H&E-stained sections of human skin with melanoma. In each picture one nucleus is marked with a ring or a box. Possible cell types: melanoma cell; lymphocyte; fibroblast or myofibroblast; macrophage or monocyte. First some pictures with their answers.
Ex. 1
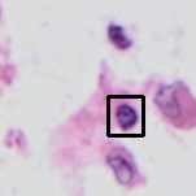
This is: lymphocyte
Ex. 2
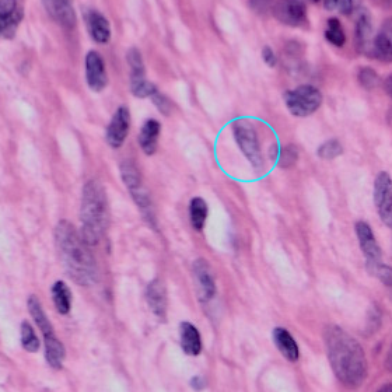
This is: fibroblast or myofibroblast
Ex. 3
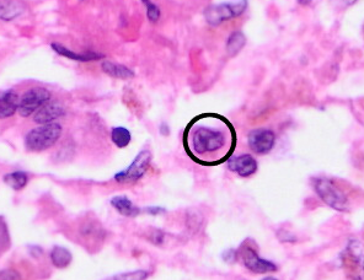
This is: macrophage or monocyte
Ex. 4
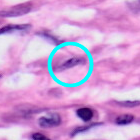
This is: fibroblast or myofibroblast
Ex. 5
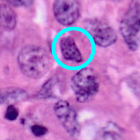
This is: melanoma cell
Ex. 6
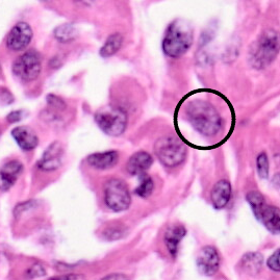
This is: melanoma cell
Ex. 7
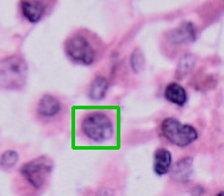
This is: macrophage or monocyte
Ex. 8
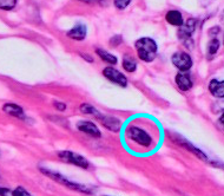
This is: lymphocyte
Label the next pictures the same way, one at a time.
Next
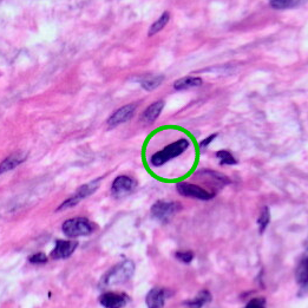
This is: lymphocyte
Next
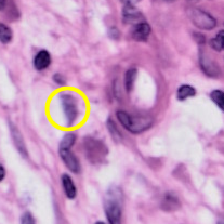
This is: fibroblast or myofibroblast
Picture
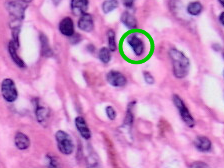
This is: lymphocyte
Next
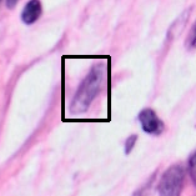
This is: fibroblast or myofibroblast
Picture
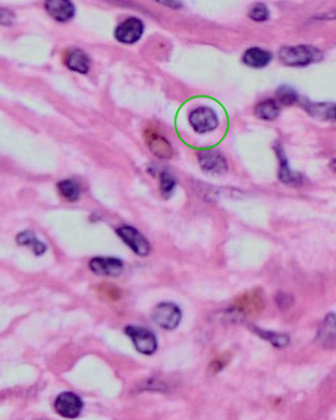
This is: lymphocyte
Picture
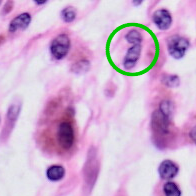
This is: macrophage or monocyte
